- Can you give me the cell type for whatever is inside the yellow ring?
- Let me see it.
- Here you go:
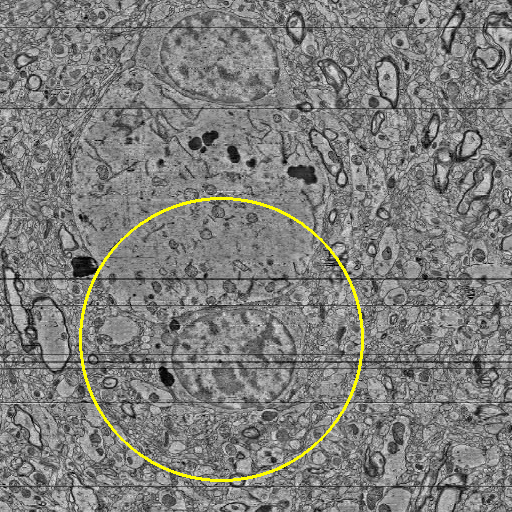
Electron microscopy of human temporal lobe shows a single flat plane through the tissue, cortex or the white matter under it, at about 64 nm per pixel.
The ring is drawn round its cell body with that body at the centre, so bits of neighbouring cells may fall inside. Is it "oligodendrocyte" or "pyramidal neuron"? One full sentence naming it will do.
The cell body in the middle of the ring in this picture belongs to an oligodendrocyte.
